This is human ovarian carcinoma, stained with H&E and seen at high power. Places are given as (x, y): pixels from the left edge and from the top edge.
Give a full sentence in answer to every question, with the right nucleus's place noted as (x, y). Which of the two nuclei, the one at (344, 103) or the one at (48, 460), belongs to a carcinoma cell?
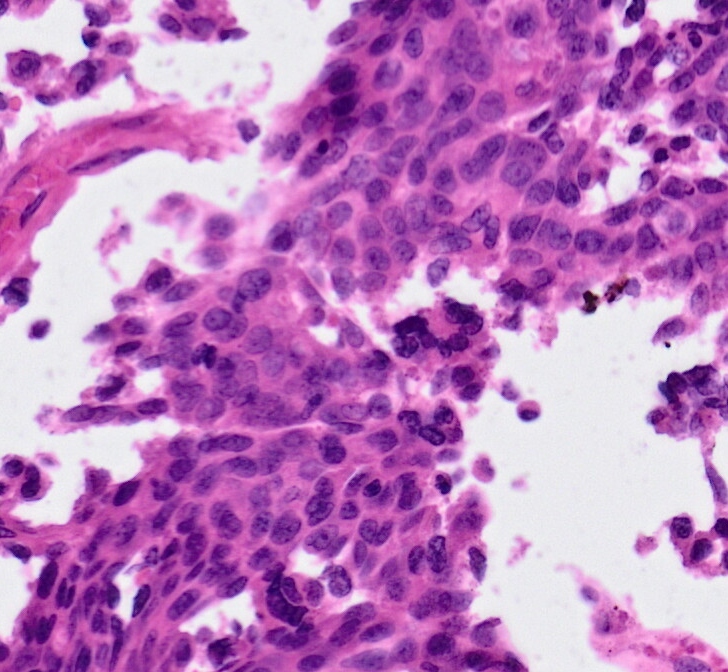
It is at (344, 103) that the nucleus of a carcinoma cell is found.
